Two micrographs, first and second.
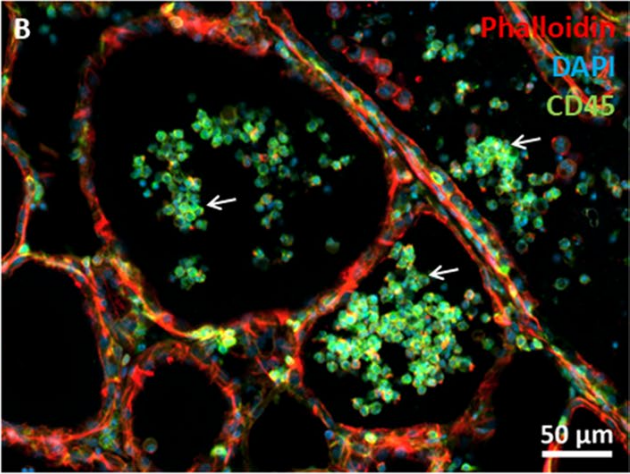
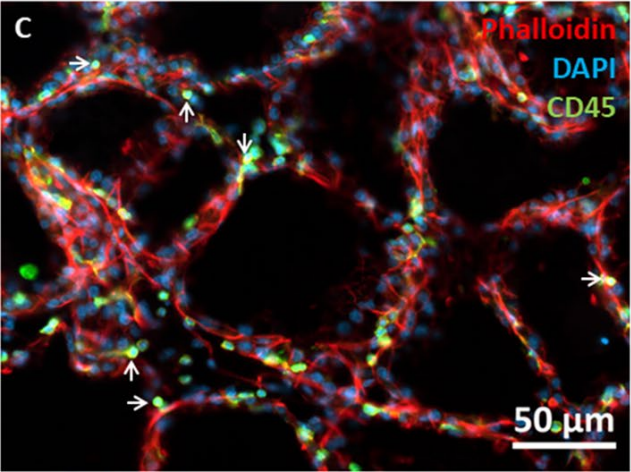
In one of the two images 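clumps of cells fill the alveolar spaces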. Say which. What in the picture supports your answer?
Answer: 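Second image: the rounded alveolar spaces are dark and empty, green cells lie only in the walls. First image: large clusters of green round cells lie inside the alveolar spaces. On this evidence: the first image.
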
